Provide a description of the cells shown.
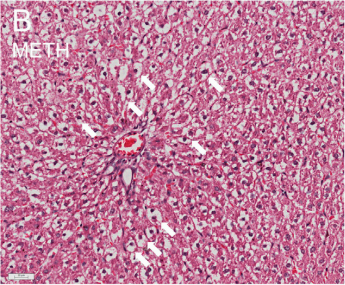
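This is liver tissue with plates of hepatocytes radiating out from a central vein that still holds red blood cells. Many of the hepatocytes are swollen and their cytoplasm is pale and cleared rather than evenly pink, giving the field a washed-out, lacy look. Their dark round nuclei mostly remain in the middle of the enlarged cells.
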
